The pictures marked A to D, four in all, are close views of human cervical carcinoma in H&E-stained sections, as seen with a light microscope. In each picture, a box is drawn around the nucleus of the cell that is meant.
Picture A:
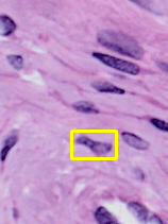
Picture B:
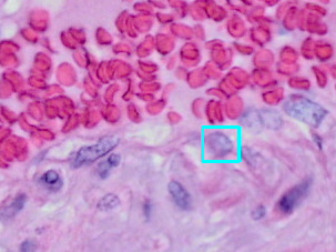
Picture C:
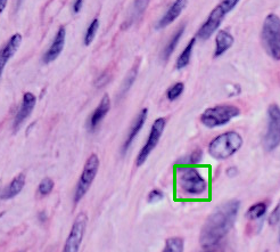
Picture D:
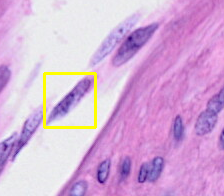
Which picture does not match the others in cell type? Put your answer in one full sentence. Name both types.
Picture A differs, because its cell is a fibroblast and the rest are endothelial cells.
